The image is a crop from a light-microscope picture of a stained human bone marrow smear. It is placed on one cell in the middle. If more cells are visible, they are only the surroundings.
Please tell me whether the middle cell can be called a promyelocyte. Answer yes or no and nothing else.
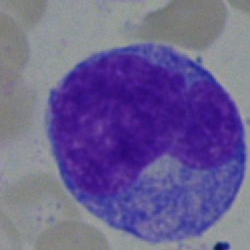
yes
